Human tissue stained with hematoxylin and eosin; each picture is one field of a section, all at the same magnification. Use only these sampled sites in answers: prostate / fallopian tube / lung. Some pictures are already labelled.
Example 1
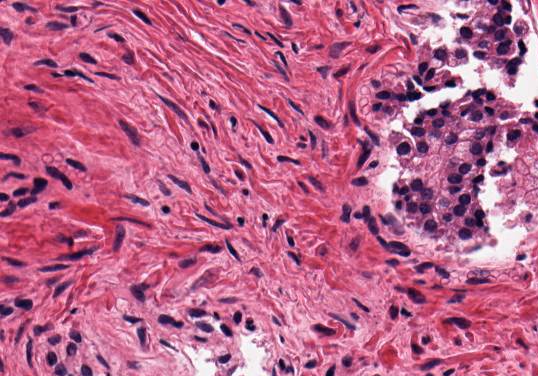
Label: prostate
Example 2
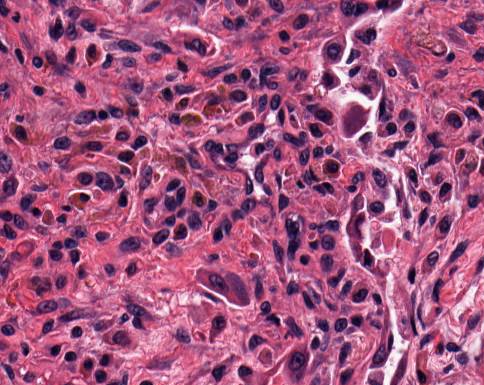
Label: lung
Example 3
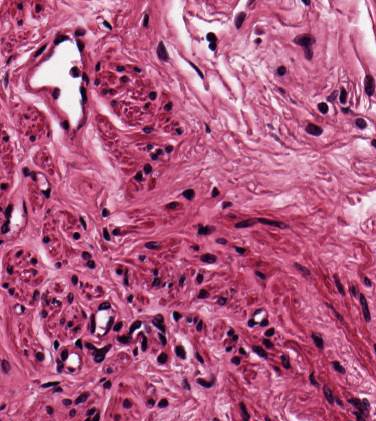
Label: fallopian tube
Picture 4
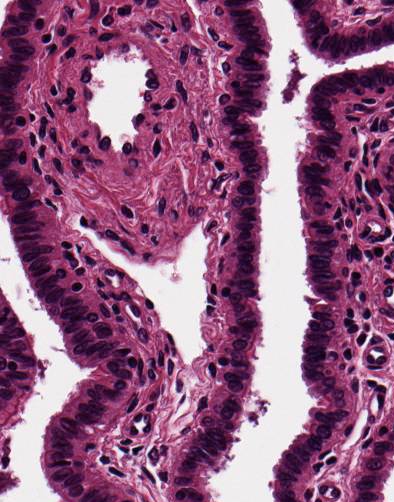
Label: fallopian tube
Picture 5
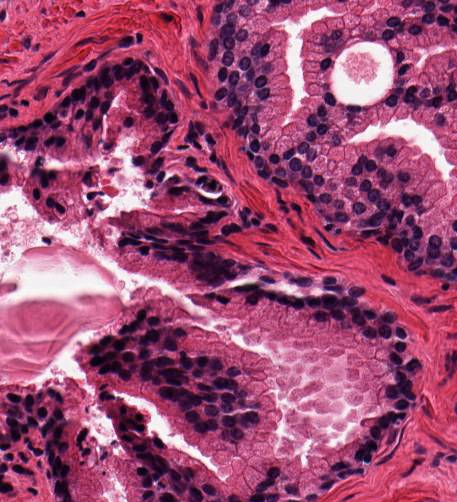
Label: prostate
